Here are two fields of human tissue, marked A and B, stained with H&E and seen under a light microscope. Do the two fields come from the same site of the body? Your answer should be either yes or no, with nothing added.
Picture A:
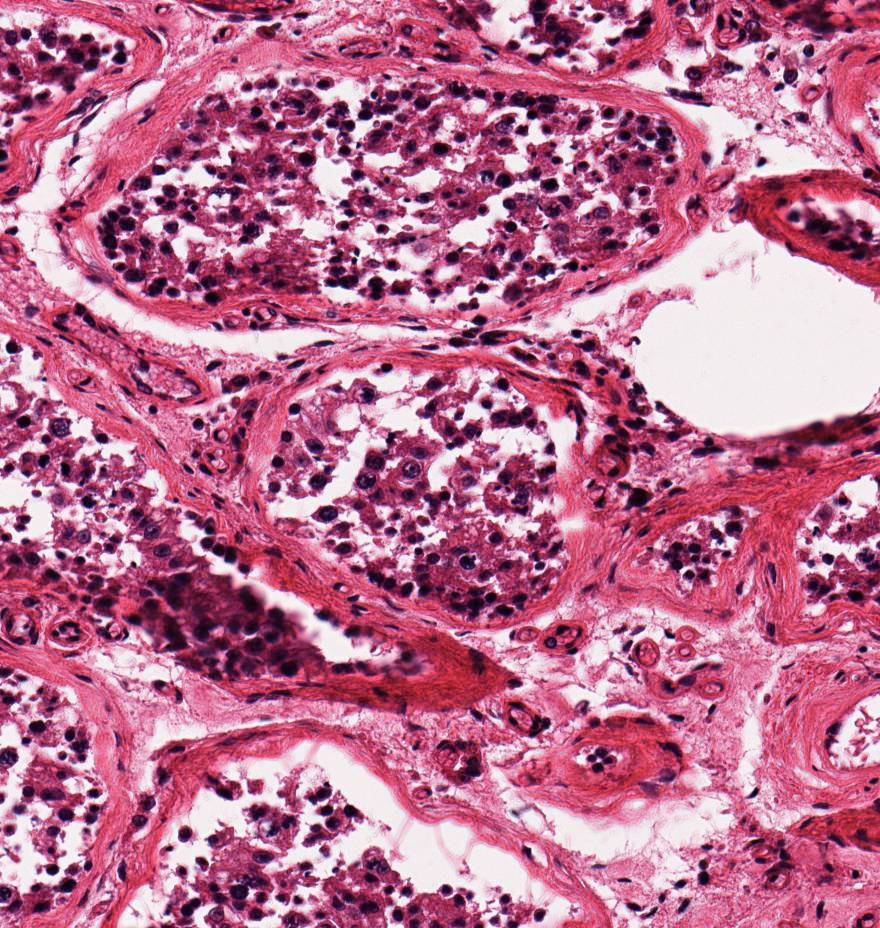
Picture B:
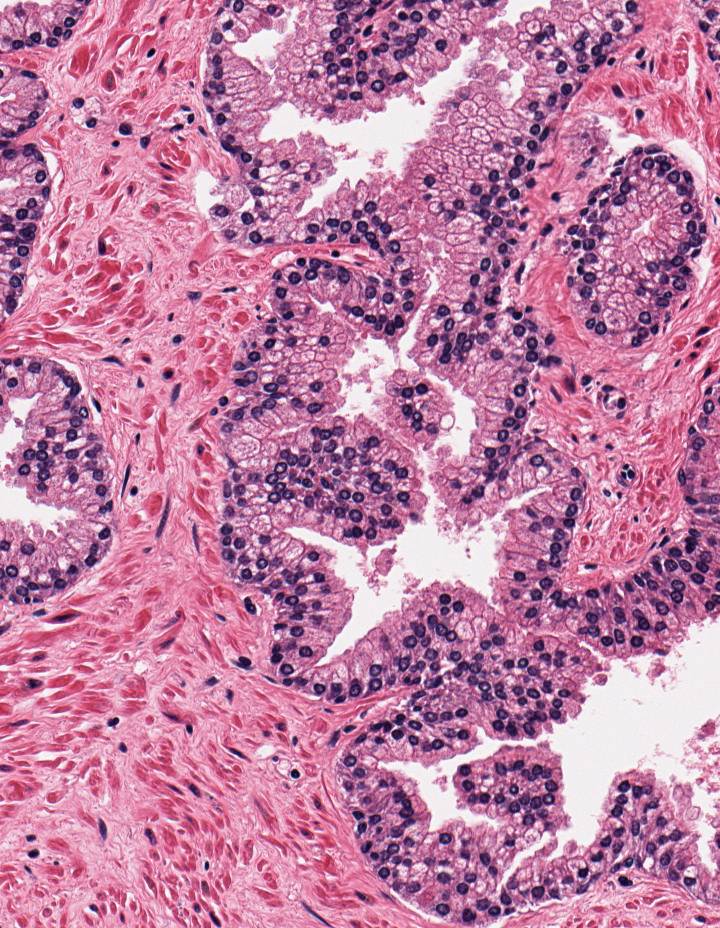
no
